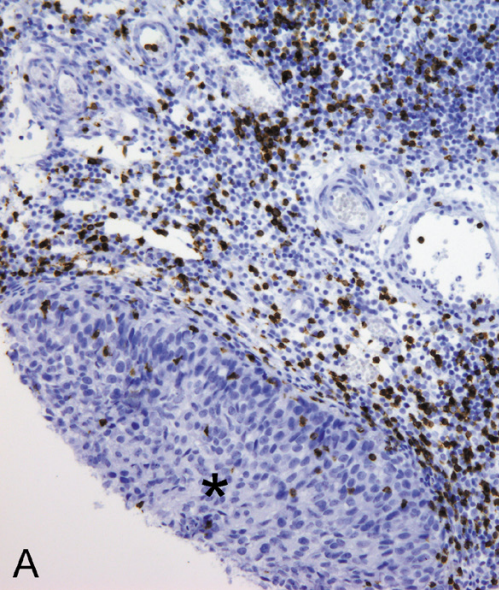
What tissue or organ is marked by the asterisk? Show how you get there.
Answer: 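The asterisk lies in a compact sheet of larger cells with oval nuclei and pale cytoplasm. This sheet is largely free of brown-stained cells. So: epithelial part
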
